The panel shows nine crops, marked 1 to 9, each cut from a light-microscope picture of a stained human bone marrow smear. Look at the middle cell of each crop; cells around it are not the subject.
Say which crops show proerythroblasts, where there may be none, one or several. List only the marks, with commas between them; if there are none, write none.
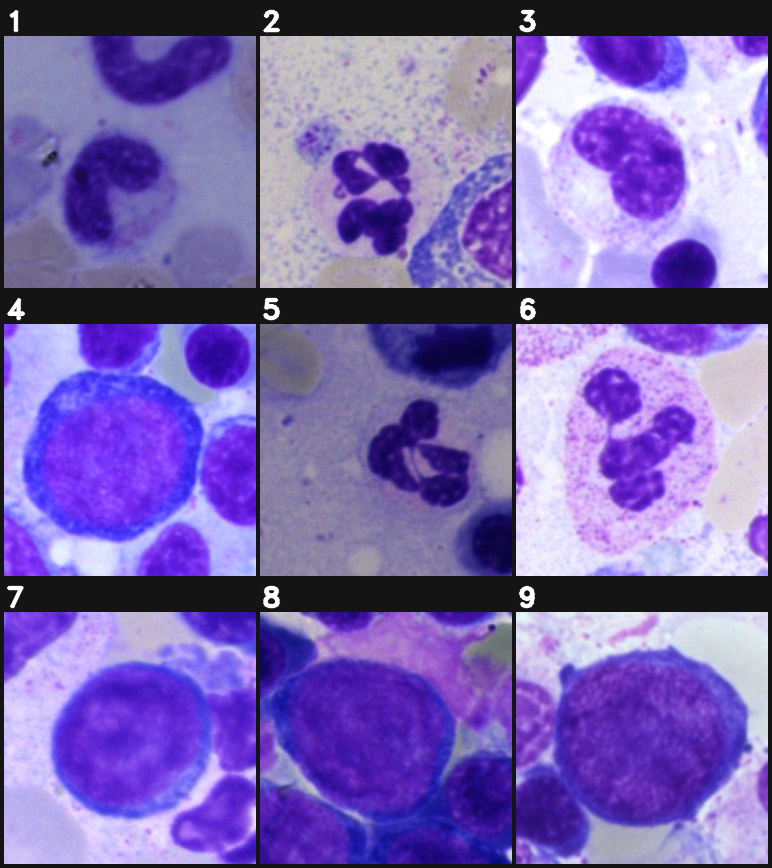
4, 7, 8, 9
